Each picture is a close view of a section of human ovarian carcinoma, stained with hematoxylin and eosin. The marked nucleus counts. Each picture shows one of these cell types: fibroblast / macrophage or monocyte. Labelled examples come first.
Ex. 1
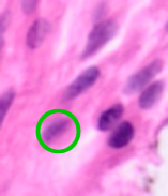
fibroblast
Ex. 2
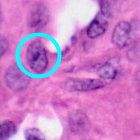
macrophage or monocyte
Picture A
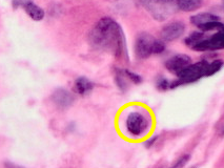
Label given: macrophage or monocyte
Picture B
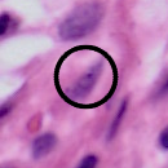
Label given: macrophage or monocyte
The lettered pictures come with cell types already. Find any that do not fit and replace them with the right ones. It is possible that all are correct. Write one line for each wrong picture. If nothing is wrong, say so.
B should be fibroblast, not macrophage or monocyte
